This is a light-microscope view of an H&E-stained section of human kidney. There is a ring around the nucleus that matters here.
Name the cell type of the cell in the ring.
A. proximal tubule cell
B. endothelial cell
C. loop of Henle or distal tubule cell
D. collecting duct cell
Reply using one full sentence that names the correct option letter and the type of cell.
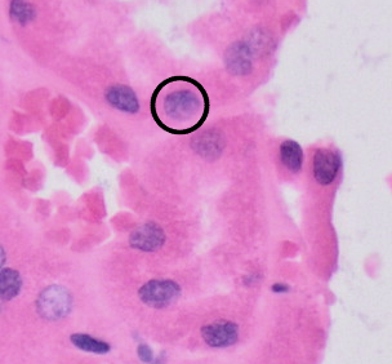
That the cell in the ring is a proximal tubule cell makes option A the correct choice.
